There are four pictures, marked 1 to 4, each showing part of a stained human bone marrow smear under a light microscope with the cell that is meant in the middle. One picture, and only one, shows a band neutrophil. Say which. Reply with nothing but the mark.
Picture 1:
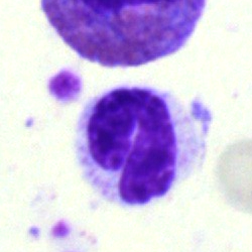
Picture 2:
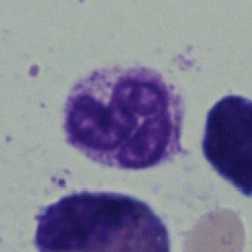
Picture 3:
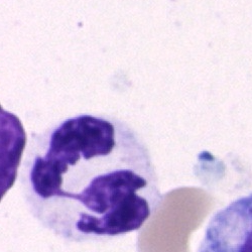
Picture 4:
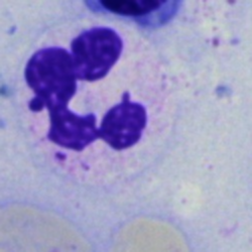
1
